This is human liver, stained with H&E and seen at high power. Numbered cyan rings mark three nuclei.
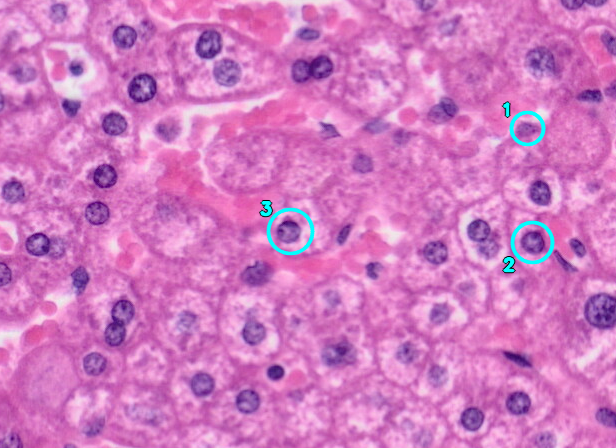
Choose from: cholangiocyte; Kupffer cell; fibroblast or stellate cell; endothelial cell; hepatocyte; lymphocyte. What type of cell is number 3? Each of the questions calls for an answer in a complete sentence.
Identified as a hepatocyte is the cell bearing the number 3.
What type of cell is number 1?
The cell pointed out by number 1 is a Kupffer cell.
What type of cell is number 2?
Number 2 is placed on a hepatocyte here.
